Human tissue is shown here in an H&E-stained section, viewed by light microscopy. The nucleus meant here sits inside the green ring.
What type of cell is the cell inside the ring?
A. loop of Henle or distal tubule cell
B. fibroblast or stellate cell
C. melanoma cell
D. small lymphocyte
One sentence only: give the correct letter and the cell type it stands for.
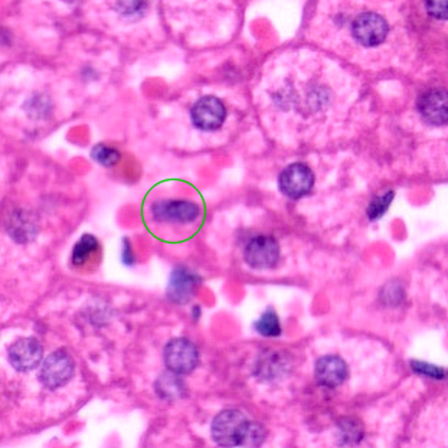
Option B is the right one; the cell inside the ring is a fibroblast or stellate cell.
